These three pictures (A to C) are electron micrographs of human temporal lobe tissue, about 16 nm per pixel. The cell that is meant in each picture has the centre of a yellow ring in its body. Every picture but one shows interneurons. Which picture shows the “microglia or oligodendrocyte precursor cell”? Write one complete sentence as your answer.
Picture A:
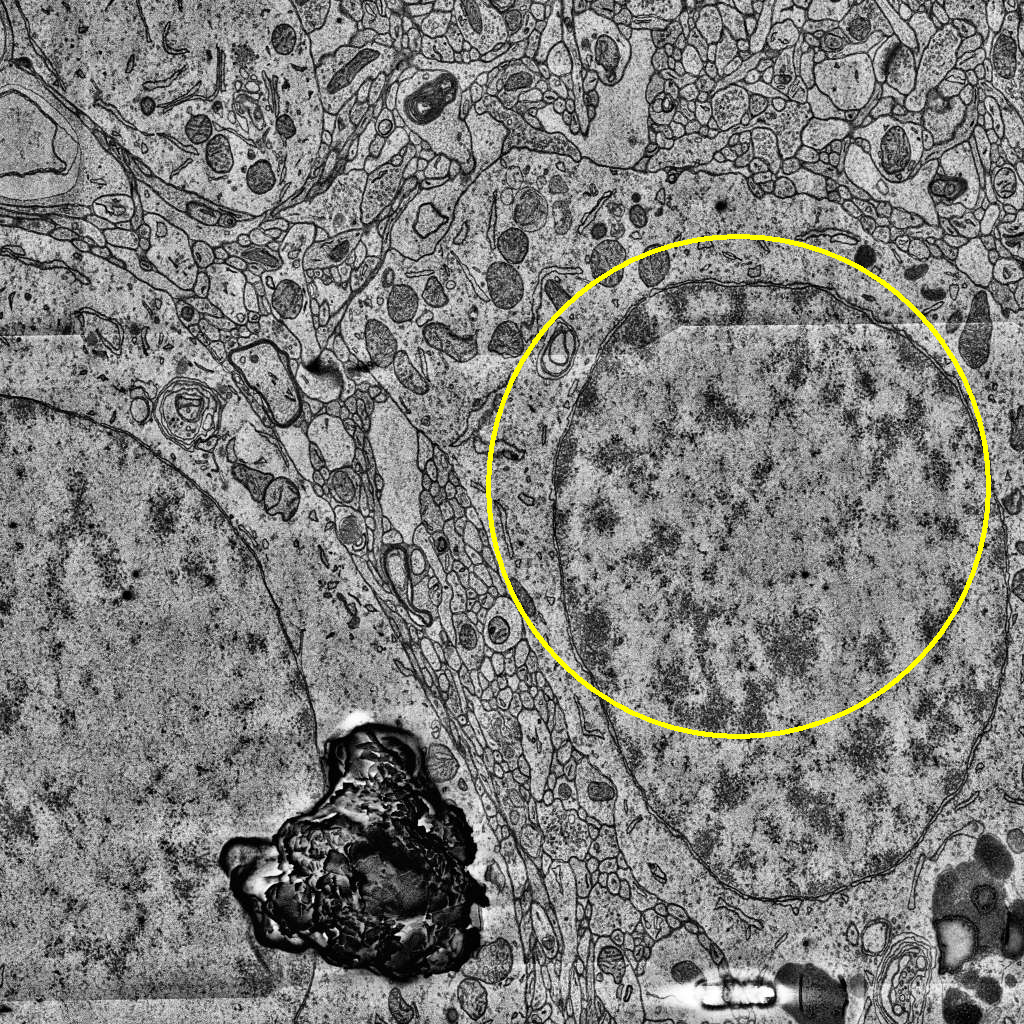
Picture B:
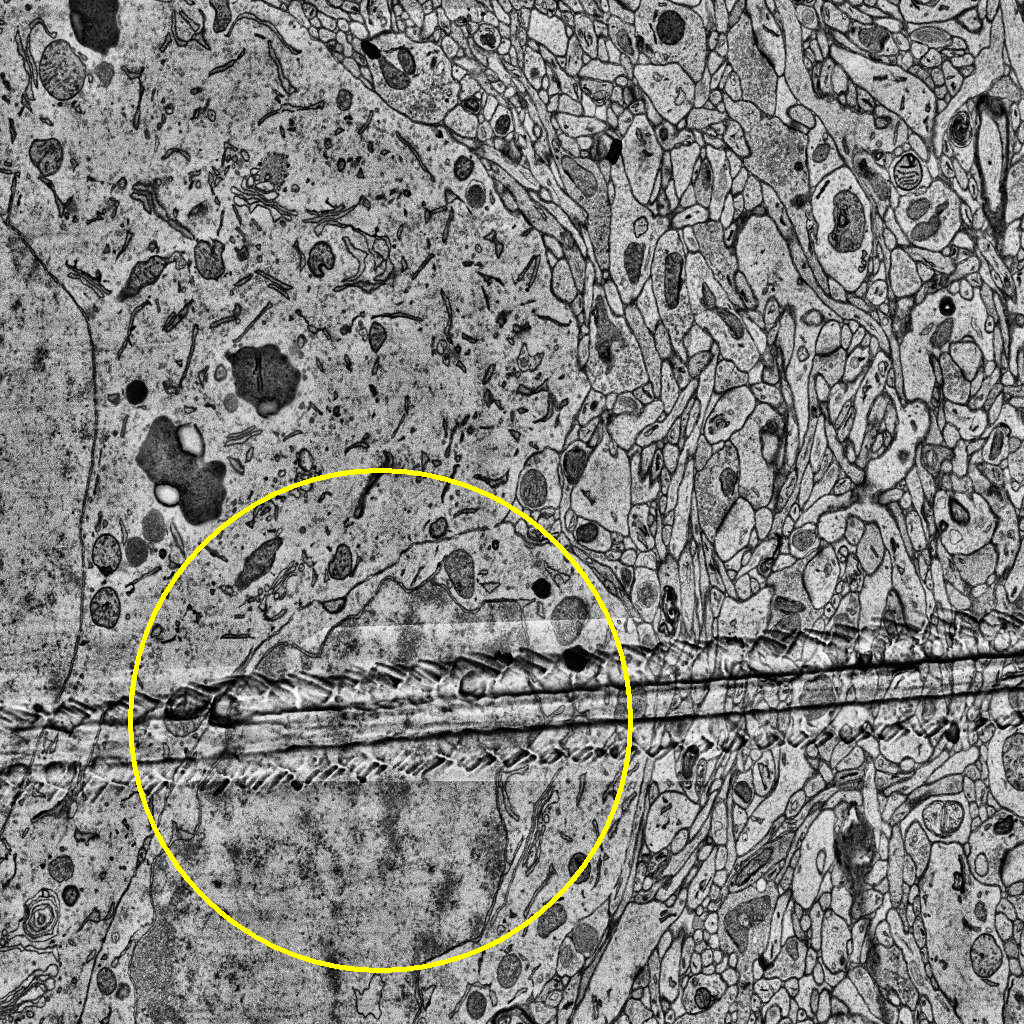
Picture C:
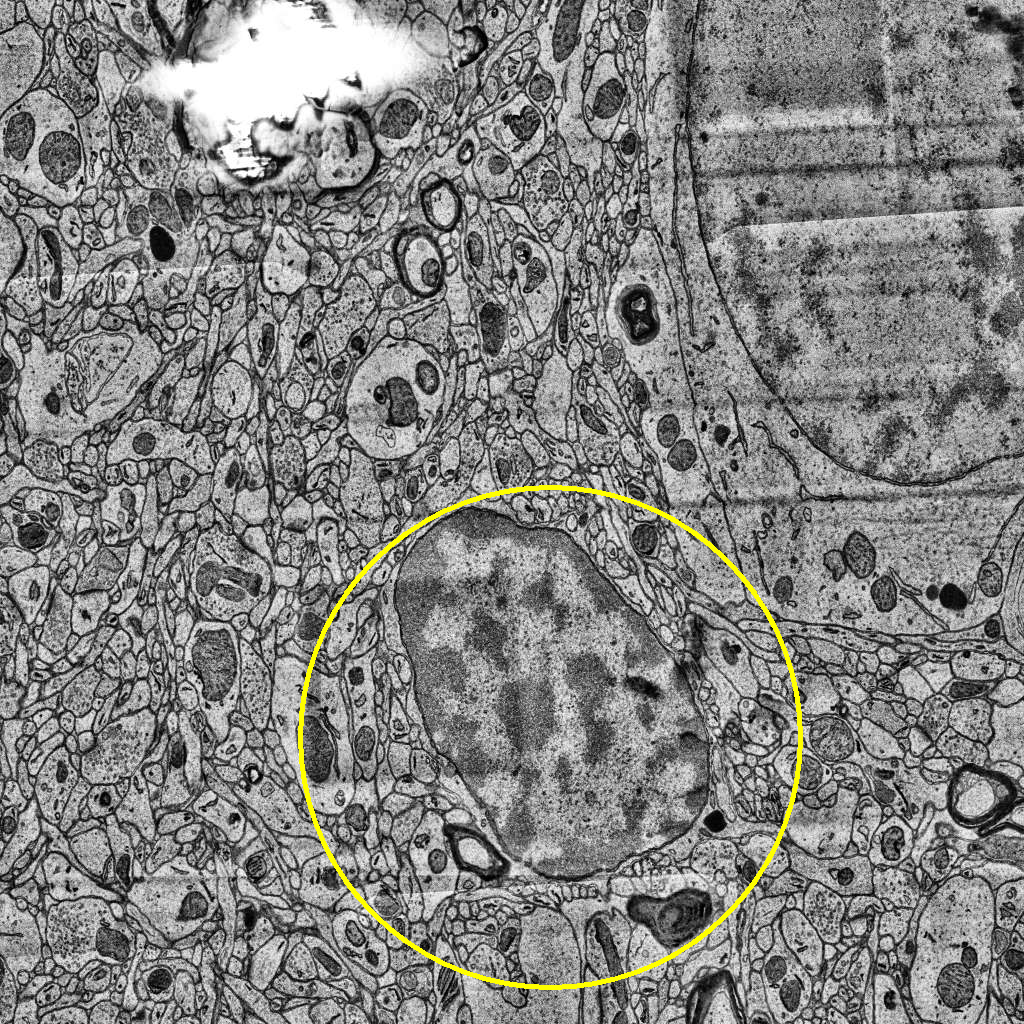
It is picture C that shows the “microglia or oligodendrocyte precursor cell”.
